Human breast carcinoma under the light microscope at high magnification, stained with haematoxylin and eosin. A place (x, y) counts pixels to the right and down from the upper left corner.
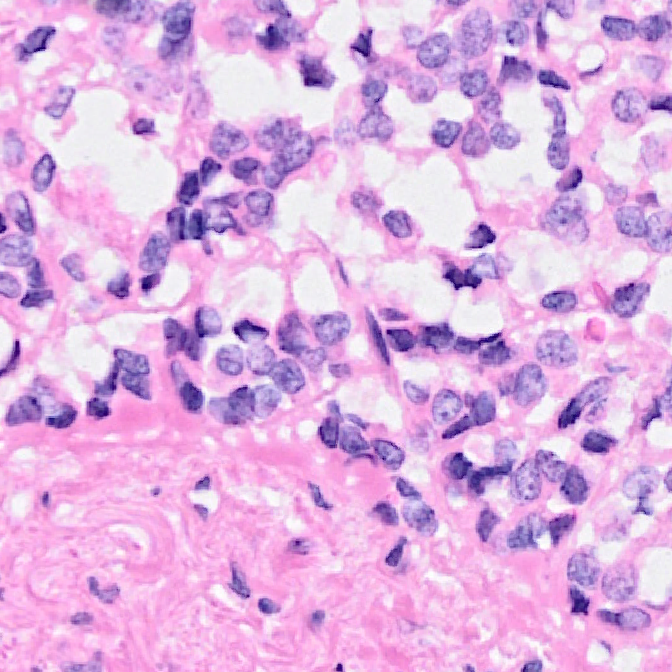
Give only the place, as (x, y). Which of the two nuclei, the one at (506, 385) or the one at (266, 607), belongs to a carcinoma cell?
(506, 385)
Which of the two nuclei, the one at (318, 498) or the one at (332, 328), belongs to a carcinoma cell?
(332, 328)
